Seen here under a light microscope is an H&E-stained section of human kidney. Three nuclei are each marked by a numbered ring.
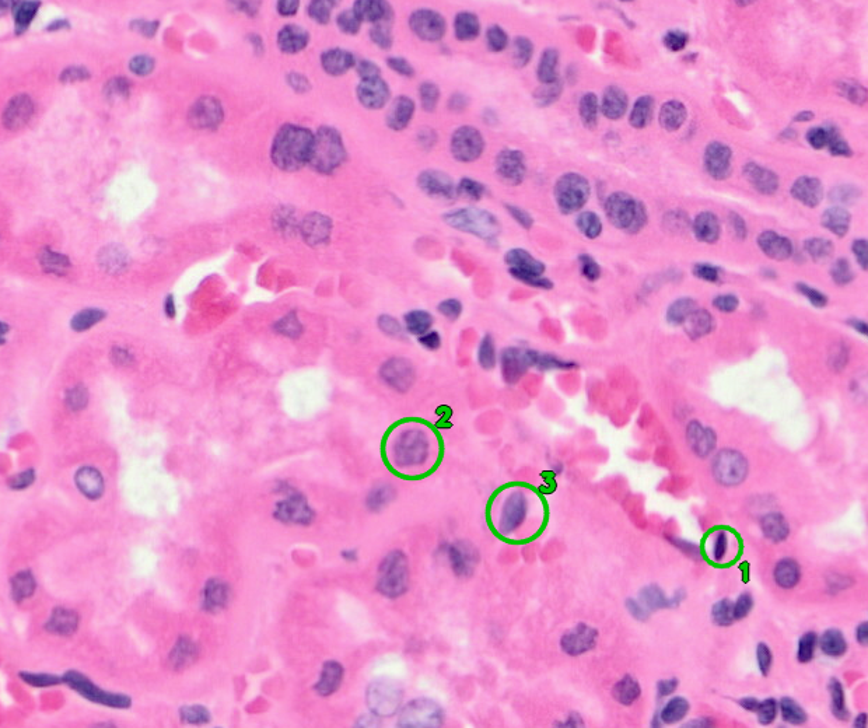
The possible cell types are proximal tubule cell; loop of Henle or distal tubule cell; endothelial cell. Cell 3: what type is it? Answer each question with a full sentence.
Cell 3, as marked in the section, is an endothelial cell.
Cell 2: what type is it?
The one labeled 2 is a proximal tubule cell, to put it simply.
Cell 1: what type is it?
Here the cell numbered 1 is an endothelial cell.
